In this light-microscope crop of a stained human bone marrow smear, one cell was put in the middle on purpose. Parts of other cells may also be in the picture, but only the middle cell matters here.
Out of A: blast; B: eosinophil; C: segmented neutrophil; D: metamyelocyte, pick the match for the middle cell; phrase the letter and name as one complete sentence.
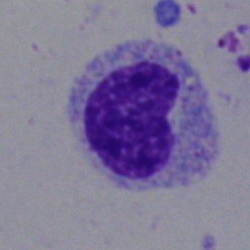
The cell occupying the centre is a metamyelocyte; option D is thus the correct choice.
